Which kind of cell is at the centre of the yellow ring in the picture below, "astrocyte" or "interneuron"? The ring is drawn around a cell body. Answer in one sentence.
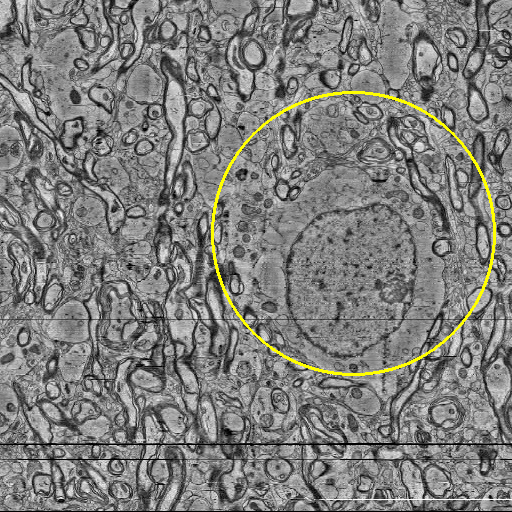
The ring's central cell is an astrocyte.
